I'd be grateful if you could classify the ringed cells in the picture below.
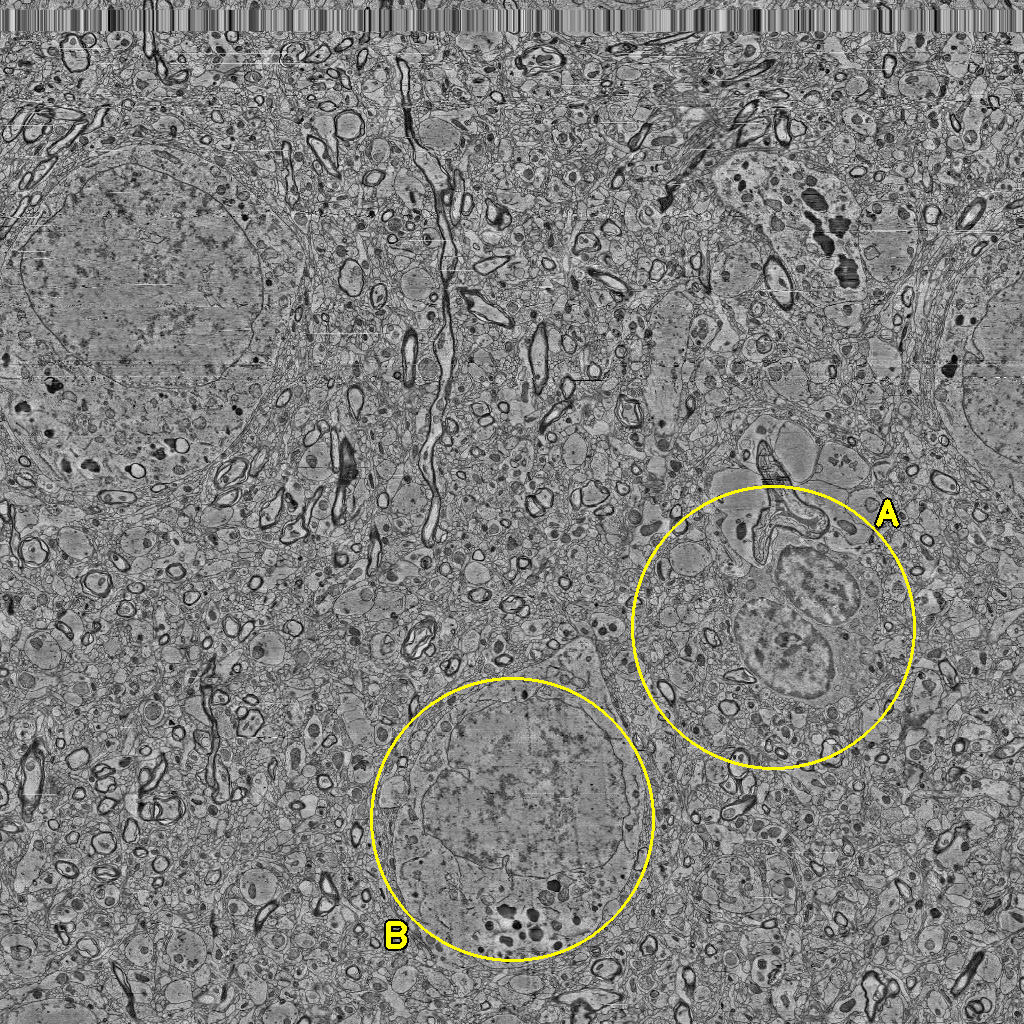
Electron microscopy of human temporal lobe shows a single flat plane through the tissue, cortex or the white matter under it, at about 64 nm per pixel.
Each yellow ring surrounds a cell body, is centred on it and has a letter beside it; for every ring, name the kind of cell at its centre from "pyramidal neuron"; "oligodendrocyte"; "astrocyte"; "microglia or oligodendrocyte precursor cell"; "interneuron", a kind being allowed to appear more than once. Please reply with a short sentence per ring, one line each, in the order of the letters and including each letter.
In ring A we have an oligodendrocyte.
In ring B we have a pyramidal neuron.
